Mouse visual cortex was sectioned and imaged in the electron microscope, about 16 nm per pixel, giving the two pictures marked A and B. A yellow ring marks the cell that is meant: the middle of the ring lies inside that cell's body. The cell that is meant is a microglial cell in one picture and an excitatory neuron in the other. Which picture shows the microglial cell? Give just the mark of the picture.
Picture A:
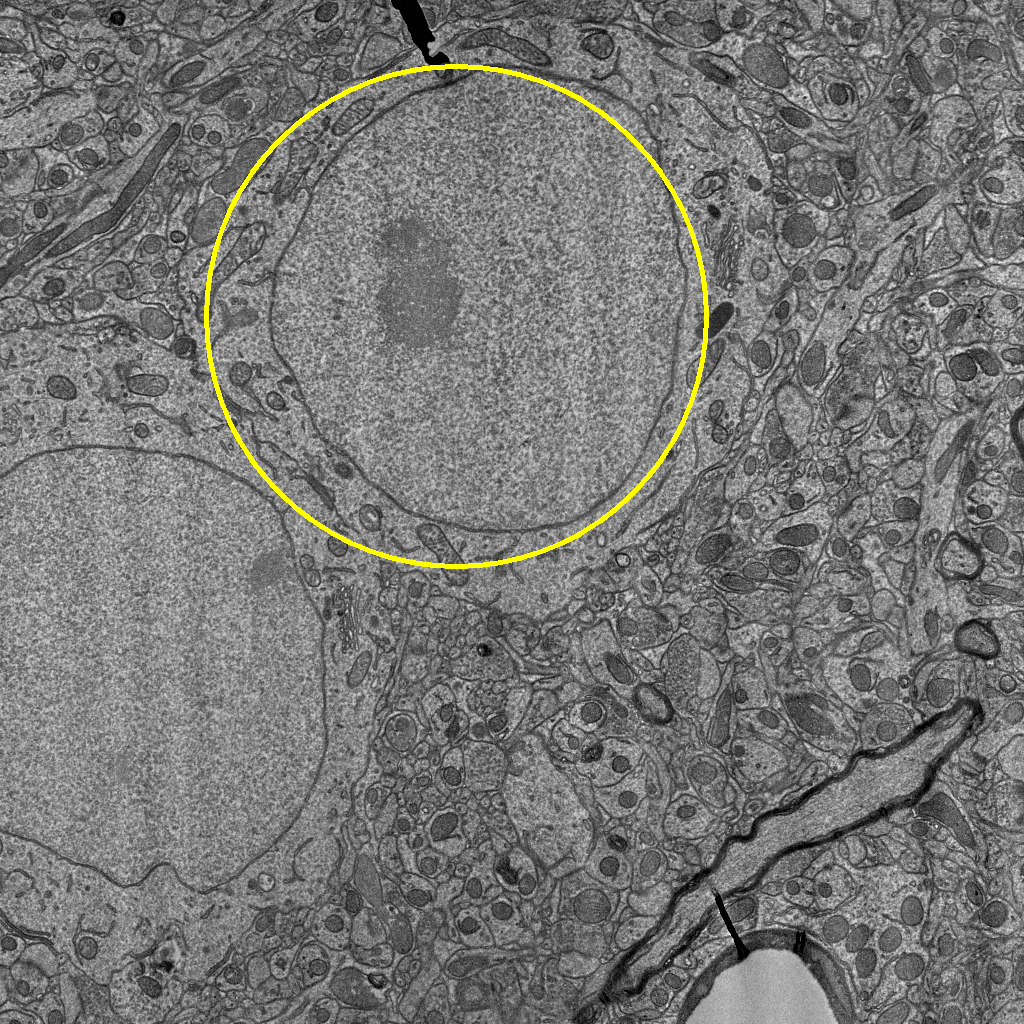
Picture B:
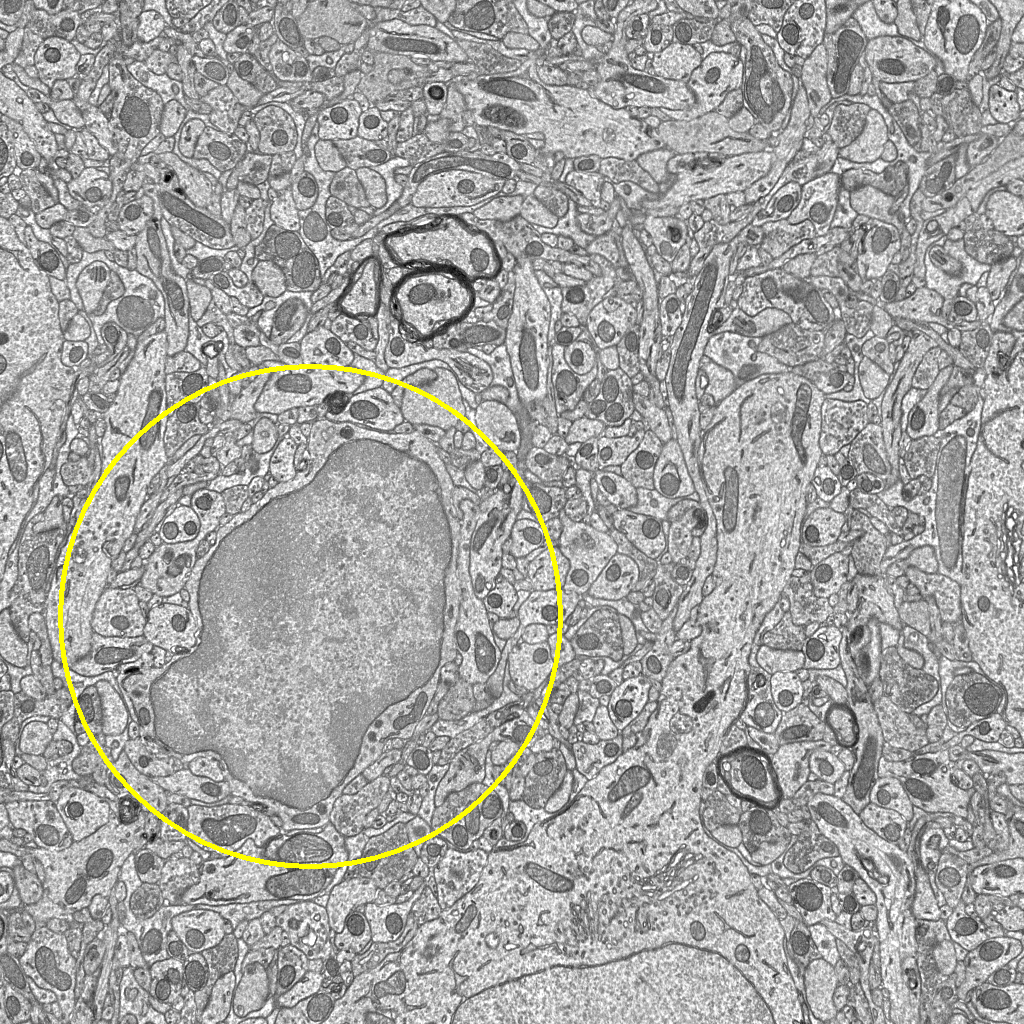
B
